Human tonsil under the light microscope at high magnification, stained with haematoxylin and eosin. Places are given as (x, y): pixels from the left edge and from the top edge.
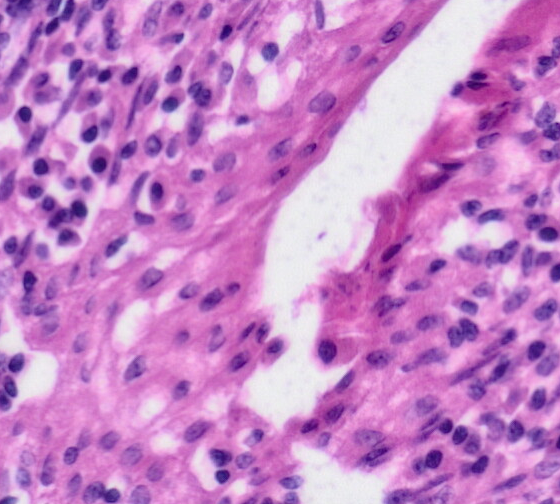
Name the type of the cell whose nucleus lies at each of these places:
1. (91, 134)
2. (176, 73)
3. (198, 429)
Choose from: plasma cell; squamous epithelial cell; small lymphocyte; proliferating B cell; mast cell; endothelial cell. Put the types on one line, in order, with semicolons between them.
plasma cell; plasma cell; squamous epithelial cell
